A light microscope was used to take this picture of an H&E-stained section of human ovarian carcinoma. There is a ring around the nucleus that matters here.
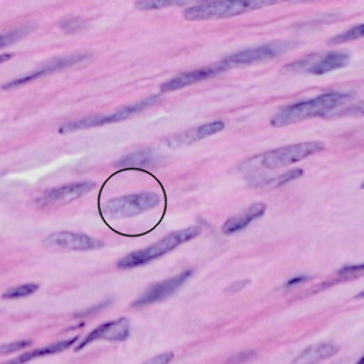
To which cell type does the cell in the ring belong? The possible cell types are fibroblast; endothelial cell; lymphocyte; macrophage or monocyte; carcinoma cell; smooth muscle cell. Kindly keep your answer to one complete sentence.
It is as a smooth muscle cell that the cell in the ring is recorded.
